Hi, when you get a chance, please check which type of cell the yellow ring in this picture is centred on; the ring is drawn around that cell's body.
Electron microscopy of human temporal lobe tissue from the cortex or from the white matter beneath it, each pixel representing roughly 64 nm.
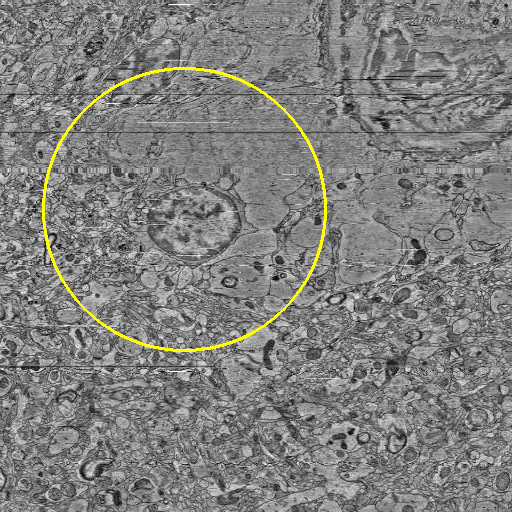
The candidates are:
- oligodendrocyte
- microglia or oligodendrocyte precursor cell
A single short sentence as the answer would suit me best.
The ring is drawn around the body of an oligodendrocyte.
